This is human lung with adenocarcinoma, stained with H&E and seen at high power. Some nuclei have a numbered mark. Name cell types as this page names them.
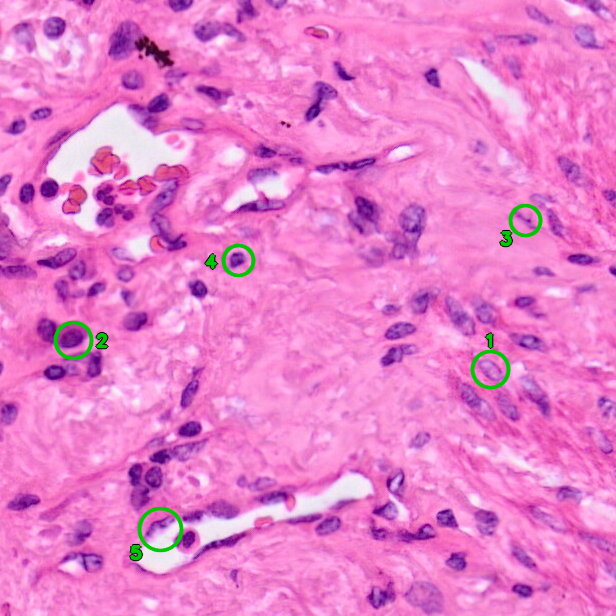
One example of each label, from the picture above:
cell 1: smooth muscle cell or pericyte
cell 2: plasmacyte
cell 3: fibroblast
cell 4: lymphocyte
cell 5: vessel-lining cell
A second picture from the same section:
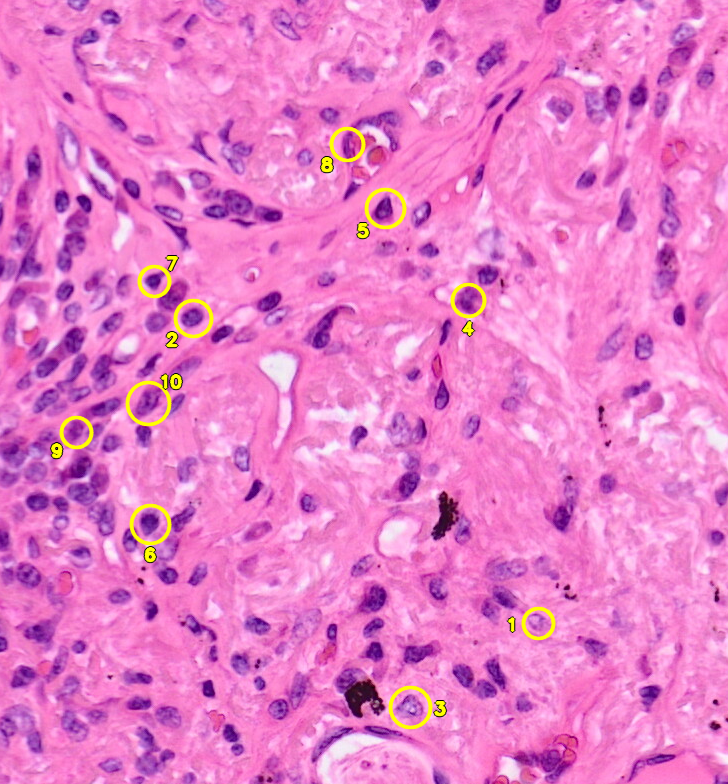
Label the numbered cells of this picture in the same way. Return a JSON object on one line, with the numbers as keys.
{"1": "fibroblast", "2": "lymphocyte", "3": "fibroblast", "4": "plasmacyte", "5": "plasmacyte", "6": "lymphocyte", "7": "lymphocyte", "8": "vessel-lining cell", "9": "plasmacyte", "10": "plasmacyte"}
